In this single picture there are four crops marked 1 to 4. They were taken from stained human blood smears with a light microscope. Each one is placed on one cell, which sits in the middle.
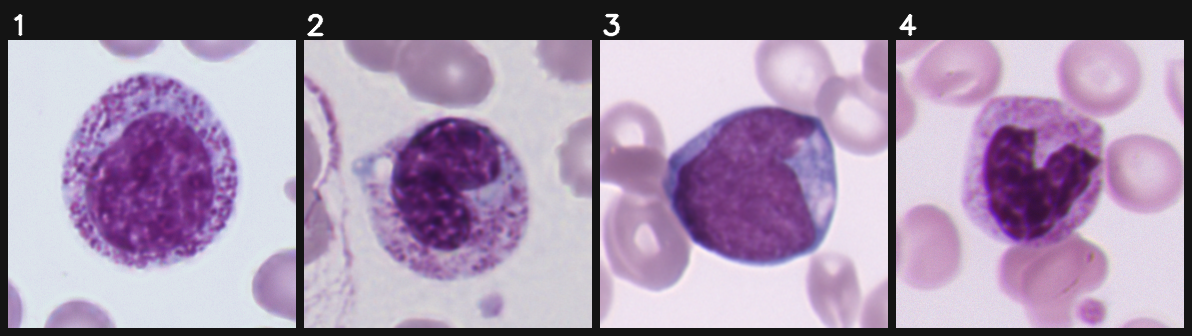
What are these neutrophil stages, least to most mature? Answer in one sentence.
The order from the least mature cell to the most mature cell is crop 3 (a myeloblast), crop 1 (a myelocyte), crop 2 (a metamyelocyte) and crop 4 (a band neutrophil).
